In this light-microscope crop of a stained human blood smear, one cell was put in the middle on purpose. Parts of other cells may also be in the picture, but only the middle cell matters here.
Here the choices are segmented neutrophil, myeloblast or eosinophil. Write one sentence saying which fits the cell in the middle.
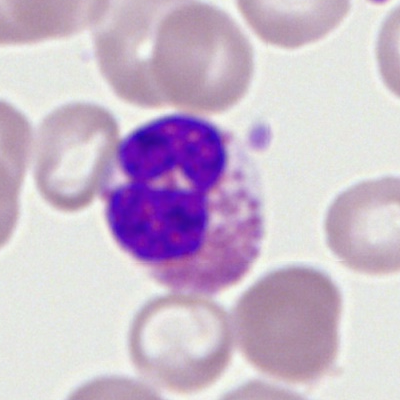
Classified as an eosinophil is the cell in the middle of this crop.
